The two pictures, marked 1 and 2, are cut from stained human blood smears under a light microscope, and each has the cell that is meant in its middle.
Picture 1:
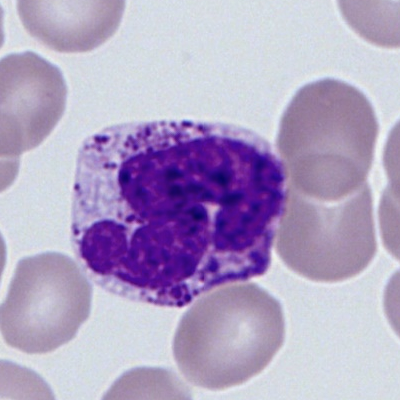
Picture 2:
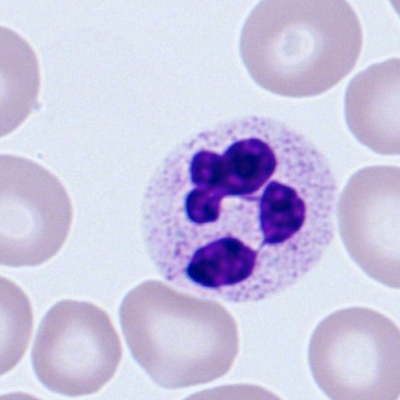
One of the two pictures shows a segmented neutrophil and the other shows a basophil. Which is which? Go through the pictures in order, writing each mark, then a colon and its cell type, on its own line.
1: basophil
2: segmented neutrophil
